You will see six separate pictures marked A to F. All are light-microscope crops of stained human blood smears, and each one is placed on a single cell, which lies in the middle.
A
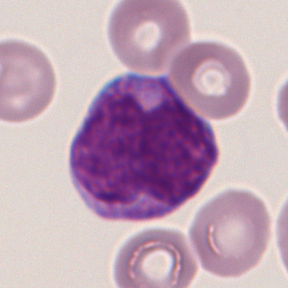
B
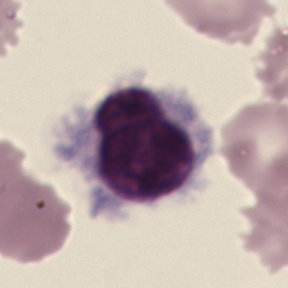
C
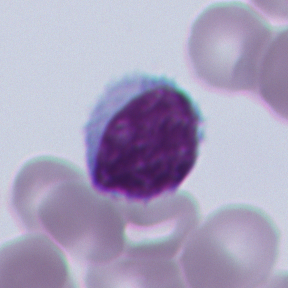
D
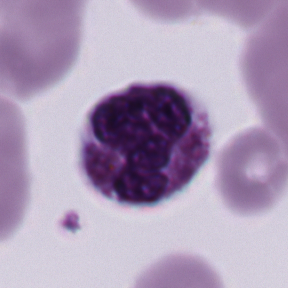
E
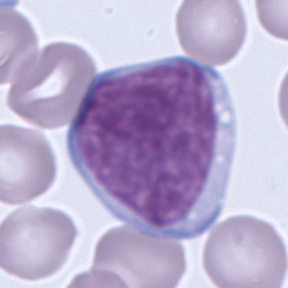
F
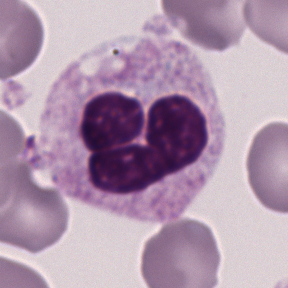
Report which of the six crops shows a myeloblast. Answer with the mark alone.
E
